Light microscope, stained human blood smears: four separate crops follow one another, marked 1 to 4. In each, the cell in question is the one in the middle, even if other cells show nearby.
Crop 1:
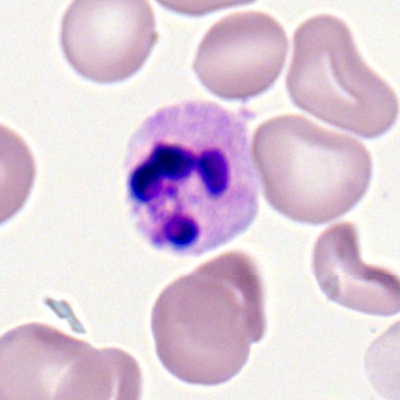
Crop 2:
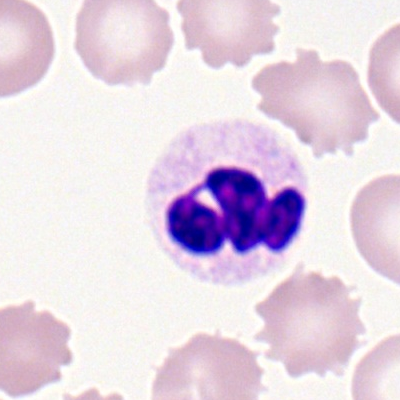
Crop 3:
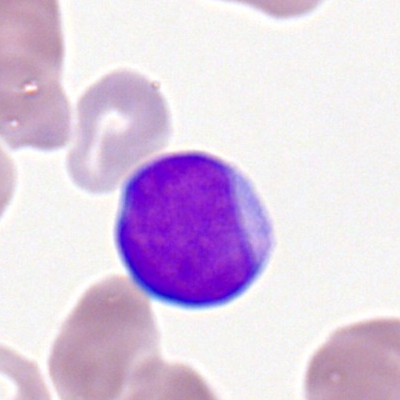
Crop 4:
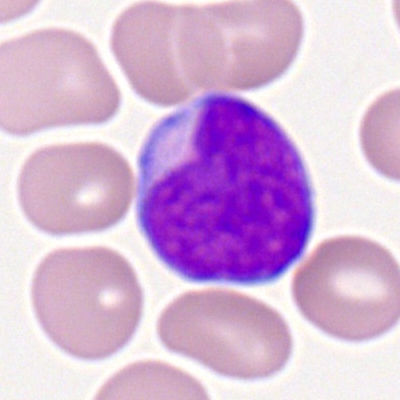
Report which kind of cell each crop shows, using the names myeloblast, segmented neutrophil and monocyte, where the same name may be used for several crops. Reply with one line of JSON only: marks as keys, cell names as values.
{"1": "segmented neutrophil", "2": "segmented neutrophil", "3": "myeloblast", "4": "myeloblast"}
